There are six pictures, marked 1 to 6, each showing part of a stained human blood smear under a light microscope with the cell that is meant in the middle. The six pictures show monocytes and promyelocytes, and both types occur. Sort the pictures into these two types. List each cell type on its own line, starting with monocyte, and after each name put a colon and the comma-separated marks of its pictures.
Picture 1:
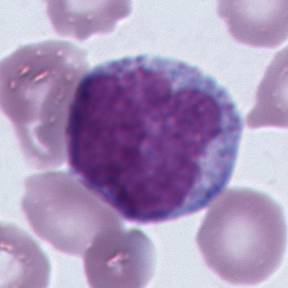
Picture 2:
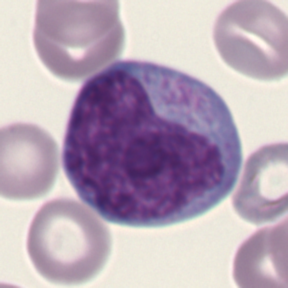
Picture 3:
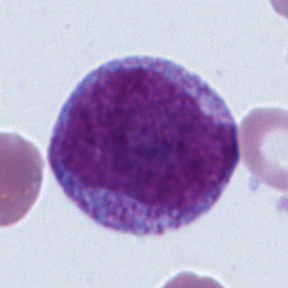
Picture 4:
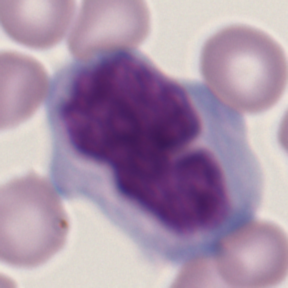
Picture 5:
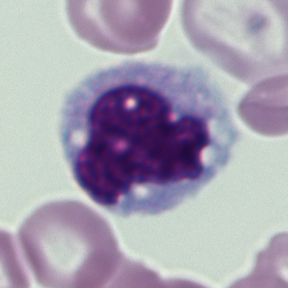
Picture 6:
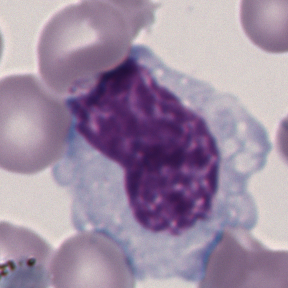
monocyte: 4, 5, 6
promyelocyte: 1, 2, 3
